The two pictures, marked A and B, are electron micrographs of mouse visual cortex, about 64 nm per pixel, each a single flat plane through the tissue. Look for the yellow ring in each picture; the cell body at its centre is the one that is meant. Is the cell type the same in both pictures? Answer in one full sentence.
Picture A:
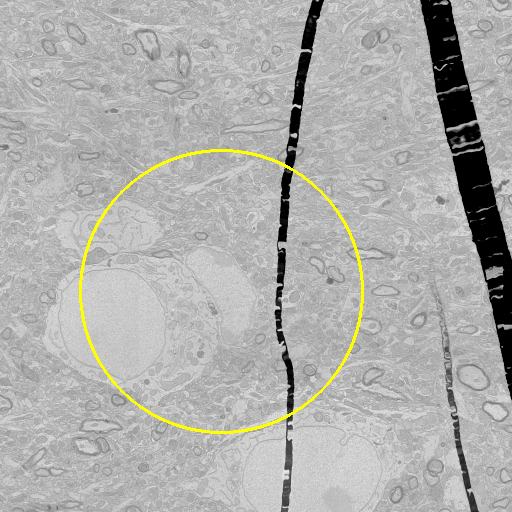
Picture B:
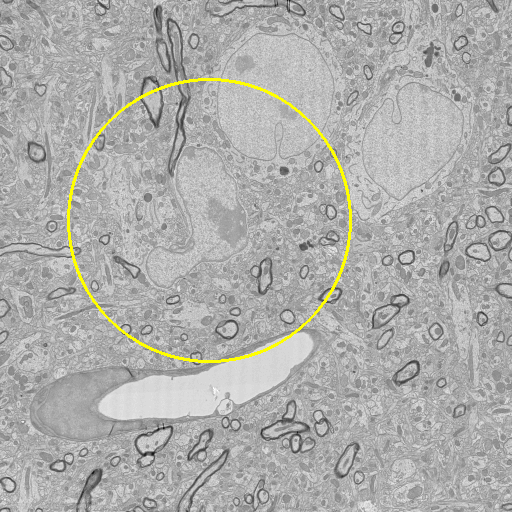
Yes, the two pictures both show oligodendrocyte precursor cells.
